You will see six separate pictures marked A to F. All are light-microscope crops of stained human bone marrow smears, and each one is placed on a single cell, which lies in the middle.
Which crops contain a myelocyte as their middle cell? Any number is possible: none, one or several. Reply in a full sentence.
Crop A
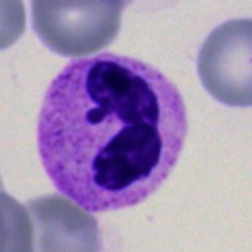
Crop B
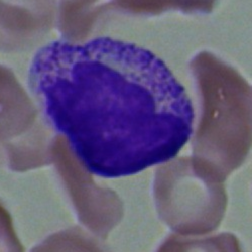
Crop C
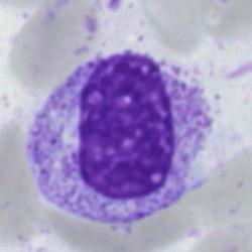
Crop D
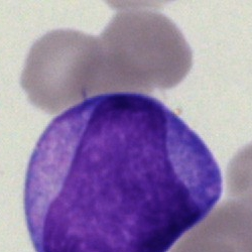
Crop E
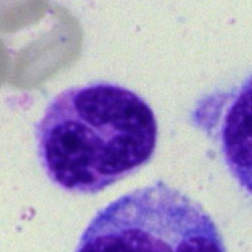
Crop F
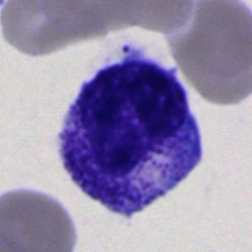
In crops B, C and F, the centrally located cells represent myelocytes.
